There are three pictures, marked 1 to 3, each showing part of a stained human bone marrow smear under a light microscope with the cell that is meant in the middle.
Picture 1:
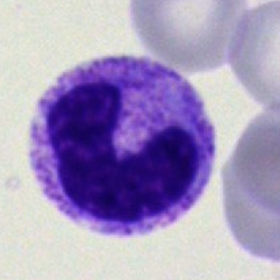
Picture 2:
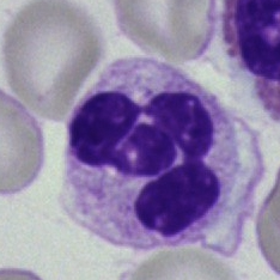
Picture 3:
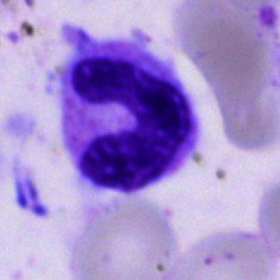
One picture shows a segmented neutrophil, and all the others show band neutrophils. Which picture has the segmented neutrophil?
2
